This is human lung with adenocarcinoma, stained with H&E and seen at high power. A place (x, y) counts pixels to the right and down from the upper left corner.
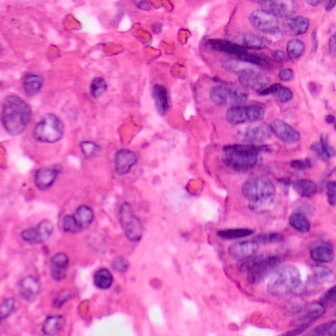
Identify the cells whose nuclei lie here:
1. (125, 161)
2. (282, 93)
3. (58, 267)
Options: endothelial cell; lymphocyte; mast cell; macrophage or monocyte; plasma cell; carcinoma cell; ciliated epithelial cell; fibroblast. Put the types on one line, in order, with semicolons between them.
macrophage or monocyte; ciliated epithelial cell; macrophage or monocyte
